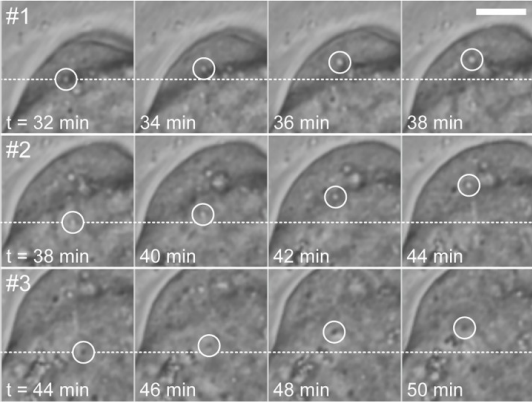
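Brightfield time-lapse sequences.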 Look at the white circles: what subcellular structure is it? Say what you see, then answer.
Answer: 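The circled dot lies in the granular cell interior, not on the cell edge.
Hence: cytoplasmic particles.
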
